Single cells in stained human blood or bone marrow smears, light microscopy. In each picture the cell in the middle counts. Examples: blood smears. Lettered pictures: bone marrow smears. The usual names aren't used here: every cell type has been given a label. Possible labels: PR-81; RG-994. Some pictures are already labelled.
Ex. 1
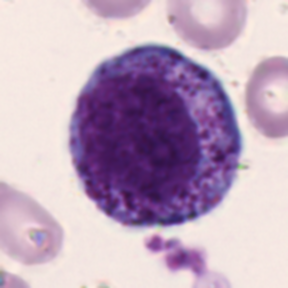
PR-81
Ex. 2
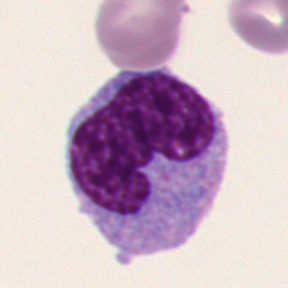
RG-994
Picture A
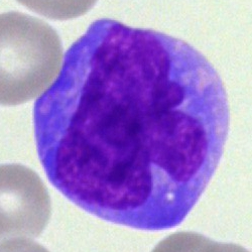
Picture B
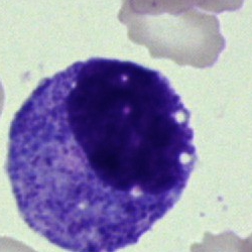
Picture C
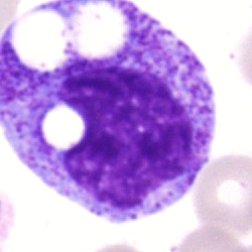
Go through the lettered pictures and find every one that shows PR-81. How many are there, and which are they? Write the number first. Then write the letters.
2, namely B, C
